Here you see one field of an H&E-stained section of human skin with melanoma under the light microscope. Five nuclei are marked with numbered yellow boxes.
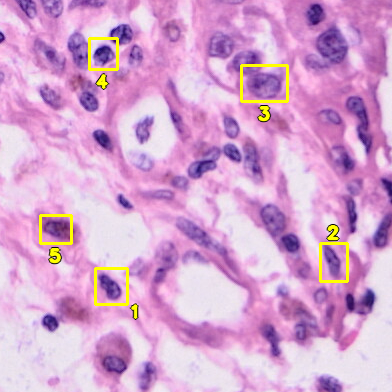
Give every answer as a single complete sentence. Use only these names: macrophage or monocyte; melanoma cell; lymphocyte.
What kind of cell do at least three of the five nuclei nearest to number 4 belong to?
Macrophages or monocytes make up most of the five nuclei closest to number 4.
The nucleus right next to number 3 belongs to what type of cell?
The nearest nucleus to number 3 belongs to a melanoma cell.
